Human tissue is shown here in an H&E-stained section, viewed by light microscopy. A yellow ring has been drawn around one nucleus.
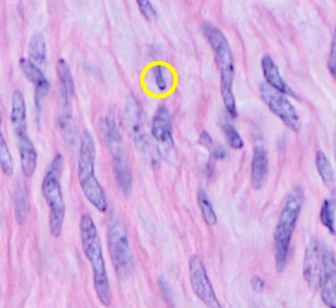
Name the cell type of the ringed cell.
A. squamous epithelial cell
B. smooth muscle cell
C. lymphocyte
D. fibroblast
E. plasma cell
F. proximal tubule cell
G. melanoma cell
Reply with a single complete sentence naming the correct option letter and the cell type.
In this item, the ringed cell is a smooth muscle cell, and option B is right.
